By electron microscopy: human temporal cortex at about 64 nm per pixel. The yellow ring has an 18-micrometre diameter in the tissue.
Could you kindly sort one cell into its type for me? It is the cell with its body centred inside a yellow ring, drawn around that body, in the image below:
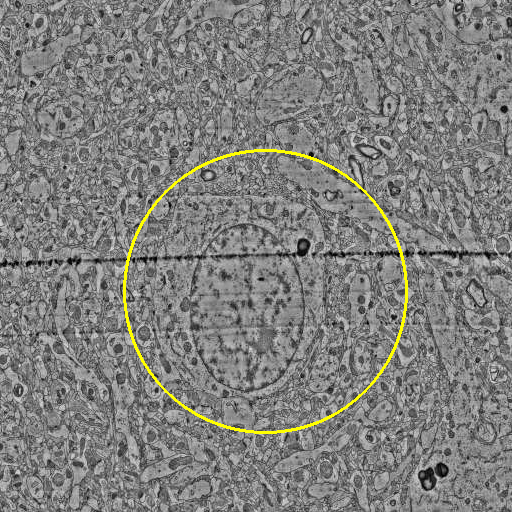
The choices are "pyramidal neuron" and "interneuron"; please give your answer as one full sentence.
The cell whose body lies centred in the yellow ring here is a pyramidal neuron.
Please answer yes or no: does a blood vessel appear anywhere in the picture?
No, no vessel shows anywhere in the image.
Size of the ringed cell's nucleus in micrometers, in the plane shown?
Roughly 11 micrometres by 7 micrometres, in this plane.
